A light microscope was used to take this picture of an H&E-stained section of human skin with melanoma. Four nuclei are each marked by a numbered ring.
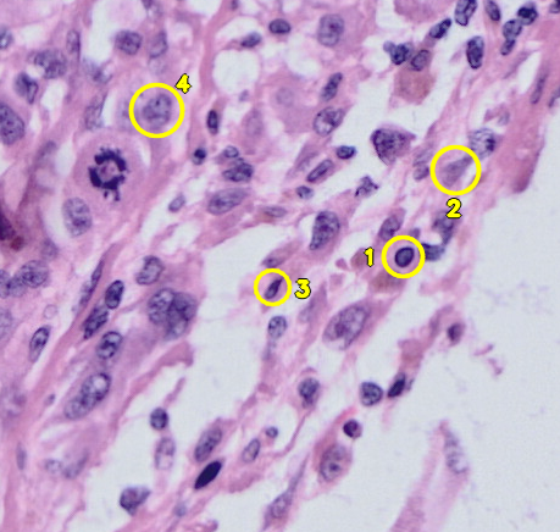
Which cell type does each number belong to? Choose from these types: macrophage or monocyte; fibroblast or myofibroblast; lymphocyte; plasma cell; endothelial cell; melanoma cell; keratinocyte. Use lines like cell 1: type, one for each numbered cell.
cell 1: lymphocyte
cell 2: fibroblast or myofibroblast
cell 3: macrophage or monocyte
cell 4: melanoma cell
